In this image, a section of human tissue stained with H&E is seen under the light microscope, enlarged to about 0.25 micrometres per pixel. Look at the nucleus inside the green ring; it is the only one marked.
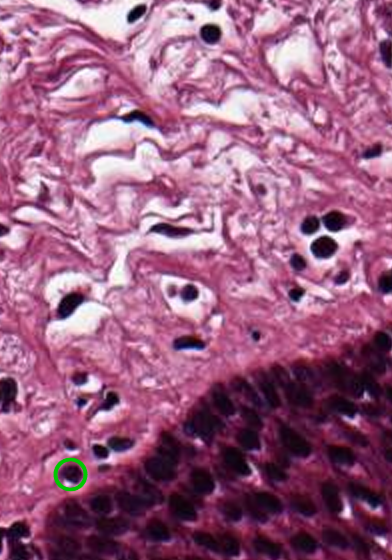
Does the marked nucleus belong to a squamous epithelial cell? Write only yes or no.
no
